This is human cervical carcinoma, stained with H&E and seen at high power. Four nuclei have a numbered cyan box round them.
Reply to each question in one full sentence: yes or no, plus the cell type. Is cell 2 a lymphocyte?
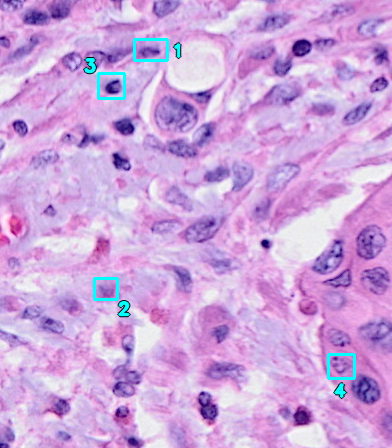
No, a fibroblast, not a lymphocyte, is the cell with number 2.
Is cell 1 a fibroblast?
Yes, that is so; number 1 marks a fibroblast.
